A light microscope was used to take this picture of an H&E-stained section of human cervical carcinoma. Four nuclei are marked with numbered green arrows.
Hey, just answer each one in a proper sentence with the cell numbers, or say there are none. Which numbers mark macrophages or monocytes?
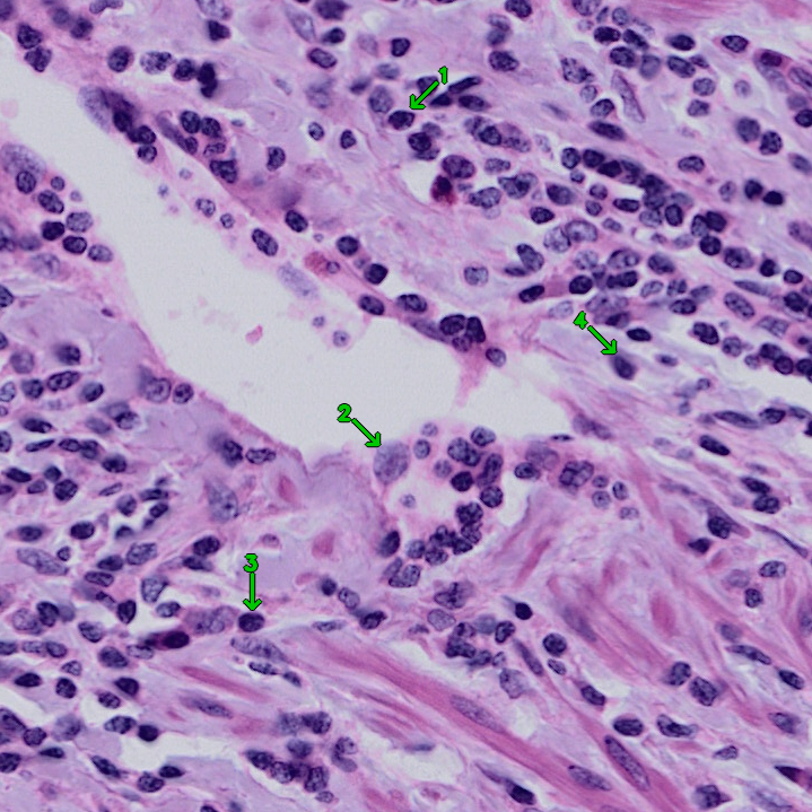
Identified by number, the marked cells include no macrophages or monocytes.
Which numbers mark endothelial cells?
Cell 2 is the only numbered cell that is an endothelial cell.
